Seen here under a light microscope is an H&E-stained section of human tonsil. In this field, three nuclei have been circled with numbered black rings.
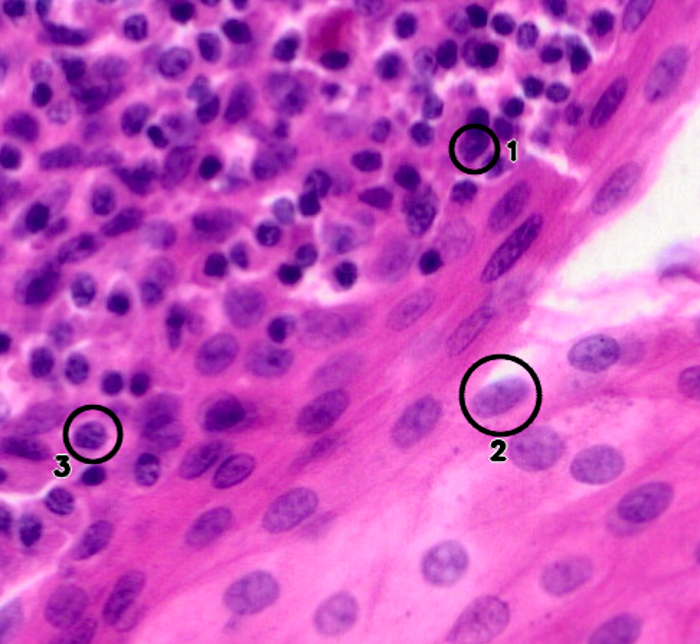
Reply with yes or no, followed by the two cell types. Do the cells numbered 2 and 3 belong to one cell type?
No, rather, cell 2 is a squamous epithelial cell and cell 3 is a plasma cell.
